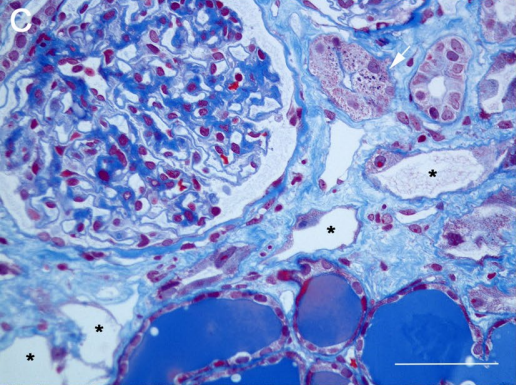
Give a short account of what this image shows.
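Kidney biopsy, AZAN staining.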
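Renal cortex with a glomerulus at upper left and surrounding tubules set in blue-staining interstitial tissue. The glomerulus shows red nuclei among blue-stained tuft structures within Bowman's space. Several tubules are dilated with wide pale lumens lined by thin, flattened epithelial cells. In the lower part, tubules contain homogeneous deep blue casts filling their lumens. Near the upper right, one tubule has cells packed with coarse dark granules in pinkish cytoplasm, while an adjacent tubule shows cuboidal cells with round red nuclei around a small lumen. The interstitium between tubules appears widened and fibrous.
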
